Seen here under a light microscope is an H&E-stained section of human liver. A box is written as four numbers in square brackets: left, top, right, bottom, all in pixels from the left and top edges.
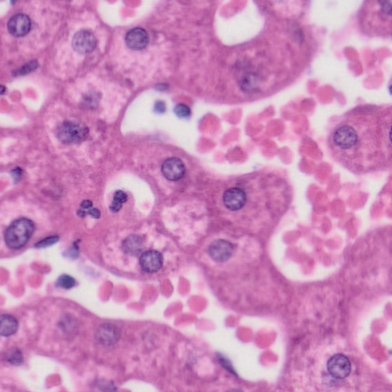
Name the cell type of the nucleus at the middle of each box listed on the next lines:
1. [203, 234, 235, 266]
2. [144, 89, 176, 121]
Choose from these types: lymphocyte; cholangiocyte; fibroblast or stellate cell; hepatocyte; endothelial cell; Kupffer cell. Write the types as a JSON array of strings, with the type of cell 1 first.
["hepatocyte", "lymphocyte"]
